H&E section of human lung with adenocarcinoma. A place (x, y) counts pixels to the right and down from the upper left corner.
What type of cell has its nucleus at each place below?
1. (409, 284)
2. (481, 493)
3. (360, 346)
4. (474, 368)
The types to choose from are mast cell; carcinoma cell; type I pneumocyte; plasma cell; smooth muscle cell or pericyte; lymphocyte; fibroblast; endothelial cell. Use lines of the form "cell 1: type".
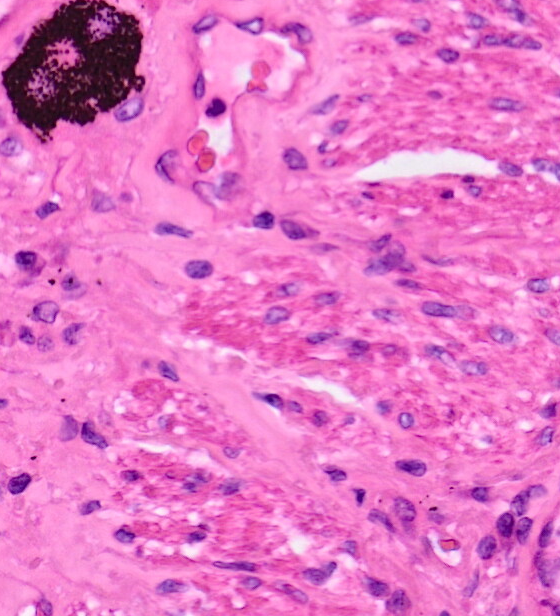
cell 1: smooth muscle cell or pericyte
cell 2: plasma cell
cell 3: smooth muscle cell or pericyte
cell 4: smooth muscle cell or pericyte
